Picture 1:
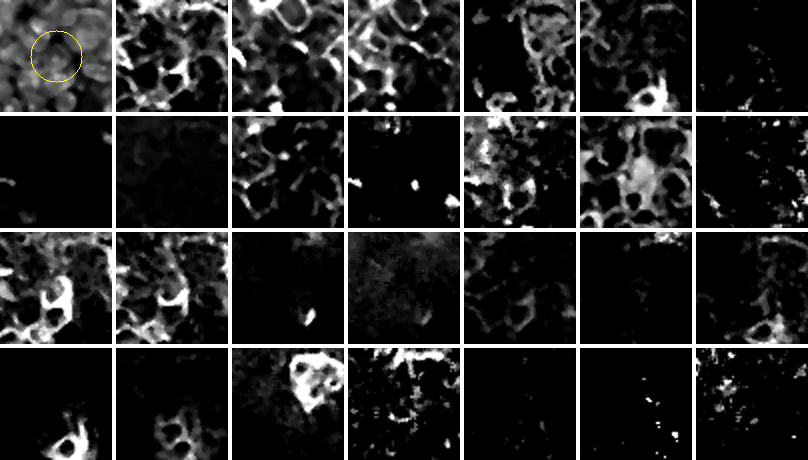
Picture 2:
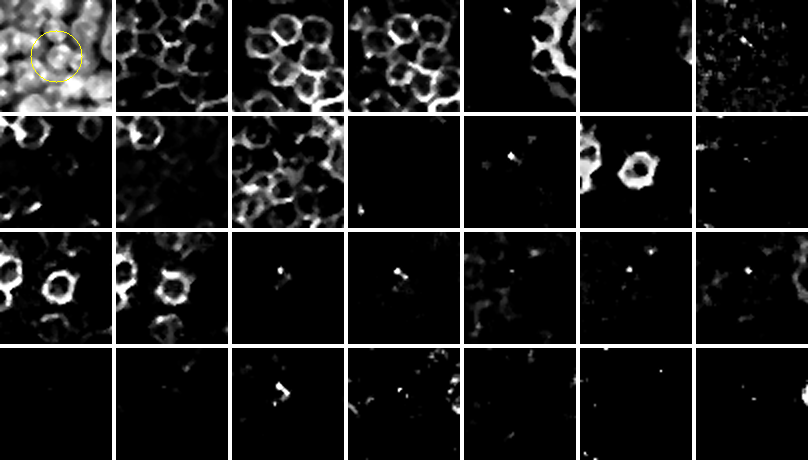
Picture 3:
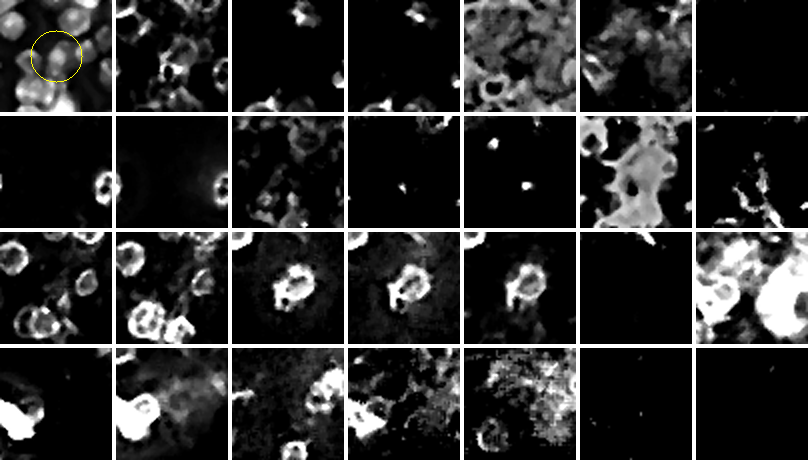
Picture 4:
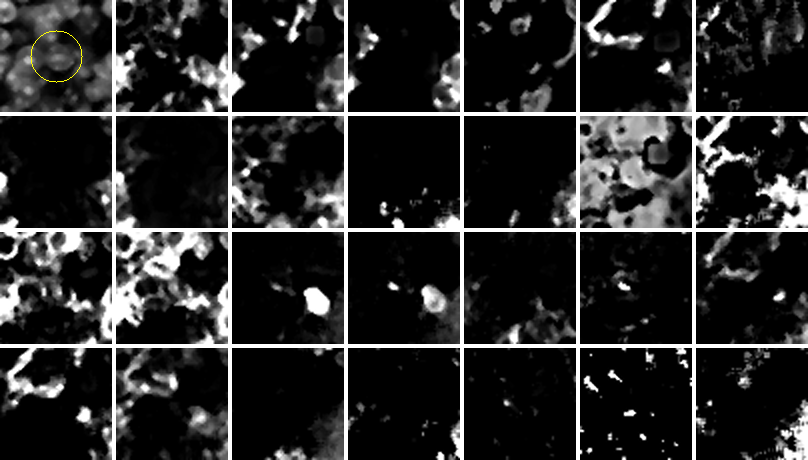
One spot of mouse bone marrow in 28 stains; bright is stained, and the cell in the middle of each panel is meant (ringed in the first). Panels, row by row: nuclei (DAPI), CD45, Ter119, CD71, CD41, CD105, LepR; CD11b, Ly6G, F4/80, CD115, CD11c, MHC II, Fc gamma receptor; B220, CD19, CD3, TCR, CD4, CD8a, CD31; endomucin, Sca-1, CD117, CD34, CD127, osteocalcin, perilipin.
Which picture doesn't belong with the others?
Picture 3.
